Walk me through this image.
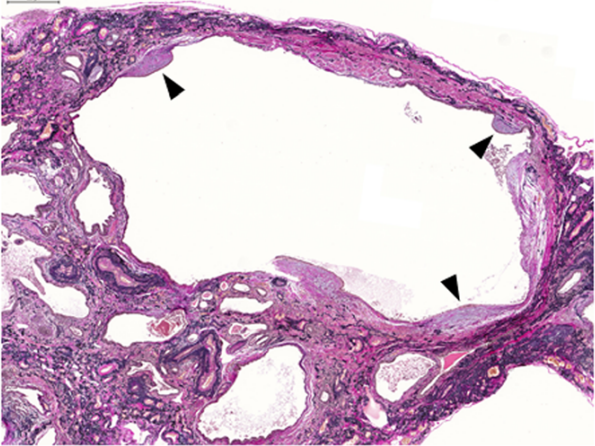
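Lung tissue remodelled into honeycomb change, with a large empty cystic space bounded by a thick, darkly stained fibrous wall. Pale, smooth, lens-shaped fibroblastic foci lie along the inner surface of the cyst wall. The surrounding tissue is densely scarred and contains many smaller cystic spaces and airway-like lumens, some with pale secretions or red cells. No normal thin-walled alveoli are seen.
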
